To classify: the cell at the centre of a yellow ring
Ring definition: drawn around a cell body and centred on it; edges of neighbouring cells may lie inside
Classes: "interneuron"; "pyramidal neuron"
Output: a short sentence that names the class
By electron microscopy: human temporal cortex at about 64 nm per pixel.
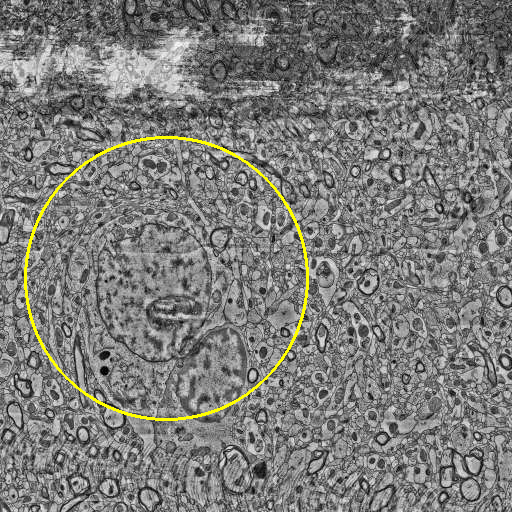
The ringed cell is a pyramidal neuron.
